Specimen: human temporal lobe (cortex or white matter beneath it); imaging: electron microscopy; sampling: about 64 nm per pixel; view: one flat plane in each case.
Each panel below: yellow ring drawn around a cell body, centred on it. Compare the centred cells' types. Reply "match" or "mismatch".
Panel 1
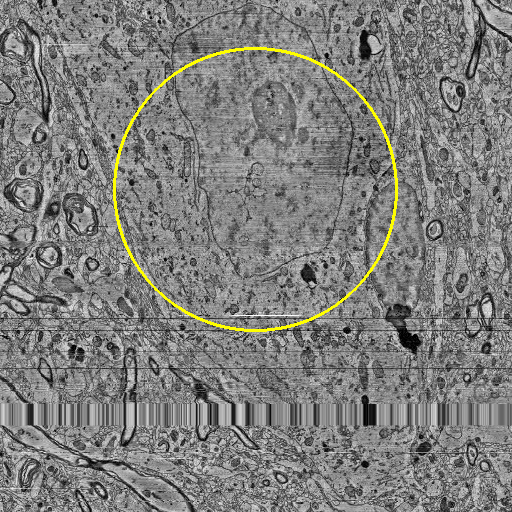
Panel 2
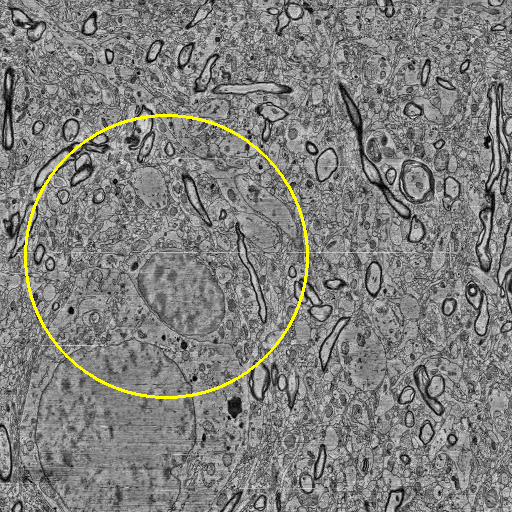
mismatch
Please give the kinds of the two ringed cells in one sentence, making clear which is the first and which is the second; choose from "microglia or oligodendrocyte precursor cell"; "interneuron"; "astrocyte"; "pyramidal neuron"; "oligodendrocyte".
In the second picture the ringed cell is an oligodendrocyte; in the first it is a pyramidal neuron.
